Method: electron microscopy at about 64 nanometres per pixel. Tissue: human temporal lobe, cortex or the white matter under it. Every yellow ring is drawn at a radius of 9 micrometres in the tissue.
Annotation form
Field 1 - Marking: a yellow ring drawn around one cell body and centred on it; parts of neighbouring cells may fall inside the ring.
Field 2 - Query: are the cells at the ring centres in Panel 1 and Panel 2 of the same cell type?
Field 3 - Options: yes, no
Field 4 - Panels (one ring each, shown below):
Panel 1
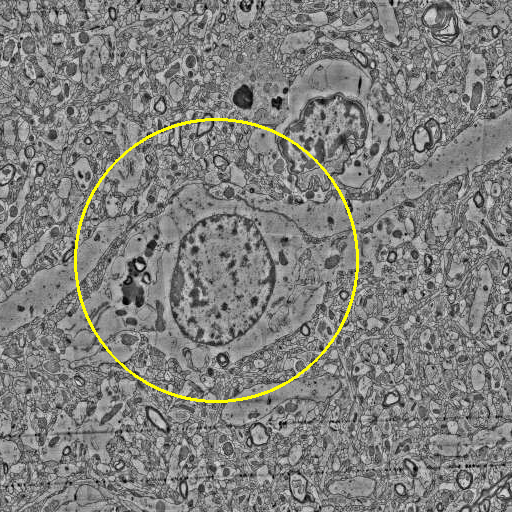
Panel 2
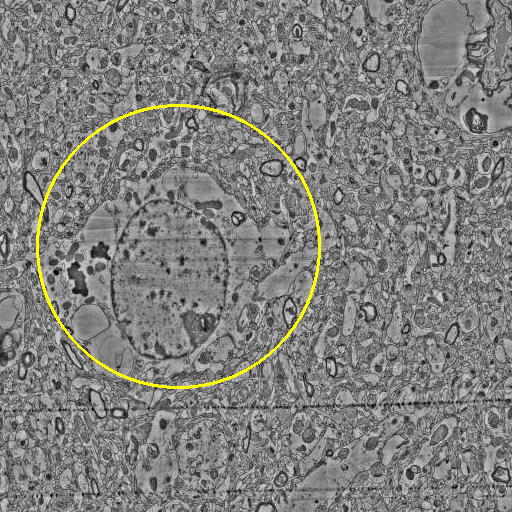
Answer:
yes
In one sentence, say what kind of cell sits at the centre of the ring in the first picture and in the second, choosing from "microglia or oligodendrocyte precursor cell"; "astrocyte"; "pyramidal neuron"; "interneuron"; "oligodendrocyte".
Both the first and the second picture show an astrocyte in the ring.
